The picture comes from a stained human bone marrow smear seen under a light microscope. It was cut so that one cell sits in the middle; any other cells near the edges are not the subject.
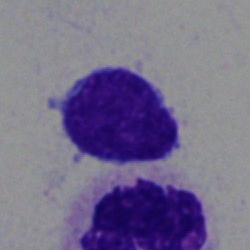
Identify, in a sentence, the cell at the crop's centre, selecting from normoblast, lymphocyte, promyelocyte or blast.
The cell at the heart of this crop is a lymphocyte.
